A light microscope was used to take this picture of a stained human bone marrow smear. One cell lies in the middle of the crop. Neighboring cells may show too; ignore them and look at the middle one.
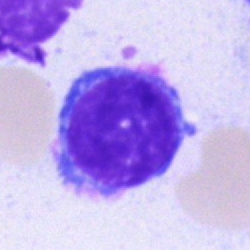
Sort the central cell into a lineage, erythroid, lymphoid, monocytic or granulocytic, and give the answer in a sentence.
The cell held in the center of the crop belongs to the lymphoid lineage.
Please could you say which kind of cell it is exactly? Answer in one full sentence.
Classification of the middle cell gives a lymphocyte.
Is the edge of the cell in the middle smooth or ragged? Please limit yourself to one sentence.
Its surface contour departs from smoothness through ragged edges or outward projections.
